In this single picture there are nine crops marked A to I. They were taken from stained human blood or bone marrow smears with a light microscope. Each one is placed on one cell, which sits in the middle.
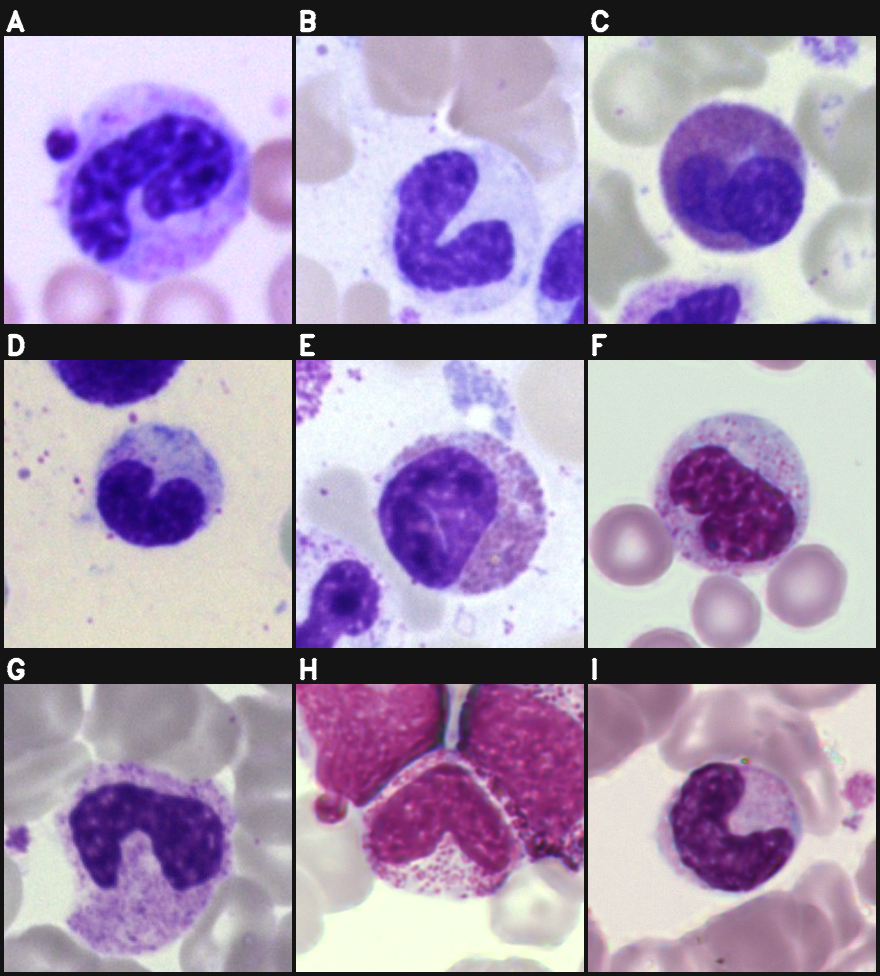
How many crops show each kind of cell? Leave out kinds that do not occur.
band neutrophil: 7
eosinophil: 2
